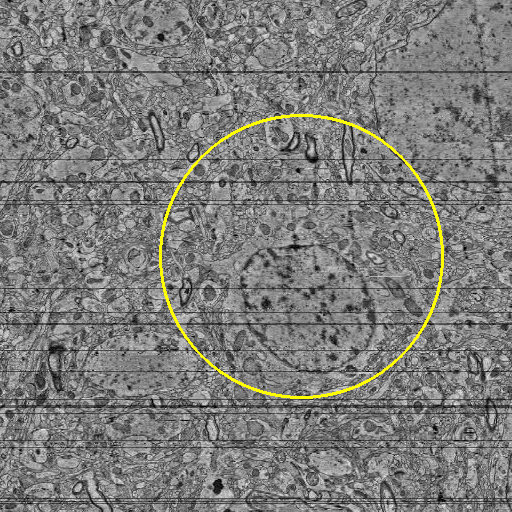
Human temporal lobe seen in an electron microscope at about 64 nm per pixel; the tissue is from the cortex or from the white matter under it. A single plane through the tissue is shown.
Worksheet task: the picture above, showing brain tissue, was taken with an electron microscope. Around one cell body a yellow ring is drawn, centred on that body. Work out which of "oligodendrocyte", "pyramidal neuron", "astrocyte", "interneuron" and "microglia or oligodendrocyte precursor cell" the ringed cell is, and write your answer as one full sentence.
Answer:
It is an astrocyte whose cell body lies at the centre of the yellow ring.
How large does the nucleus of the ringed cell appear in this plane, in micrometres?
In this plane the nucleus spans approximately 9 by 8 micrometers.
